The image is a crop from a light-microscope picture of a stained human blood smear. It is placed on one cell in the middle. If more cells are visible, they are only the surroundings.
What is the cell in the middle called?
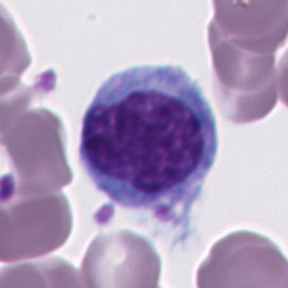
monocyte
